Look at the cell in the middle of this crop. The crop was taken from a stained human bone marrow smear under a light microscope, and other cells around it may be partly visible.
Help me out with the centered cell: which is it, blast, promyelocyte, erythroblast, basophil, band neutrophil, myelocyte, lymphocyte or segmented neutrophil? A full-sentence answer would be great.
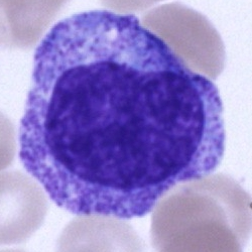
Regarding the central cell, it is a promyelocyte.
